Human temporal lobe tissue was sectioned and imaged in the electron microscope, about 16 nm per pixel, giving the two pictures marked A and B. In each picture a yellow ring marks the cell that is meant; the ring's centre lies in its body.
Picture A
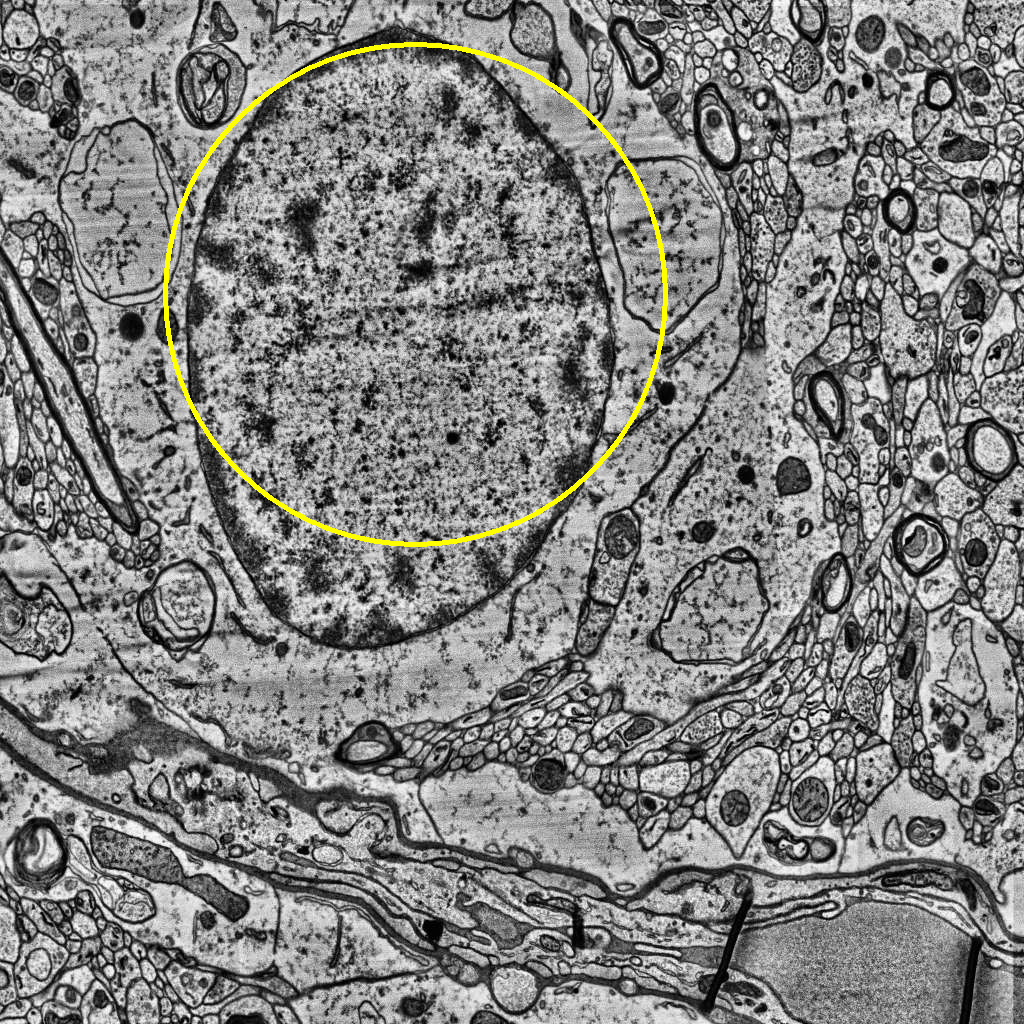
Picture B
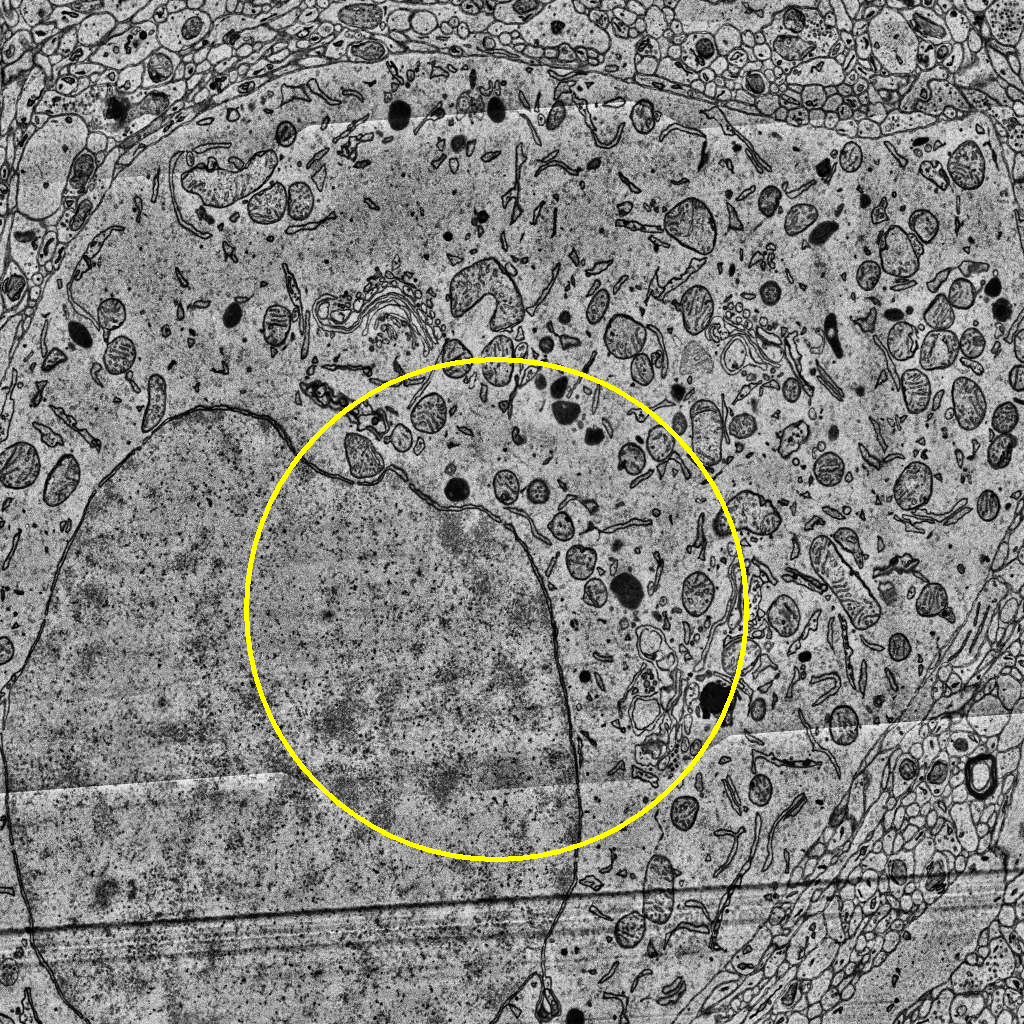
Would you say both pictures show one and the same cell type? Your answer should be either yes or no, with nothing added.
no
